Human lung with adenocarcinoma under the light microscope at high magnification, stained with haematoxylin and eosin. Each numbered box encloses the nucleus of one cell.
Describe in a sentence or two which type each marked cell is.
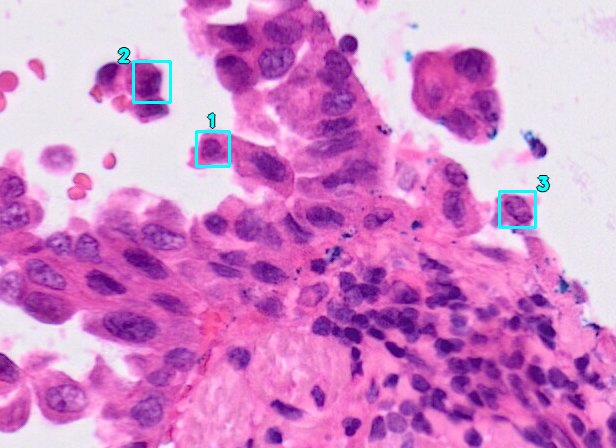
Cell 1 is a carcinoma cell, cell 2 is a carcinoma cell and cell 3 is a macrophage or monocyte.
